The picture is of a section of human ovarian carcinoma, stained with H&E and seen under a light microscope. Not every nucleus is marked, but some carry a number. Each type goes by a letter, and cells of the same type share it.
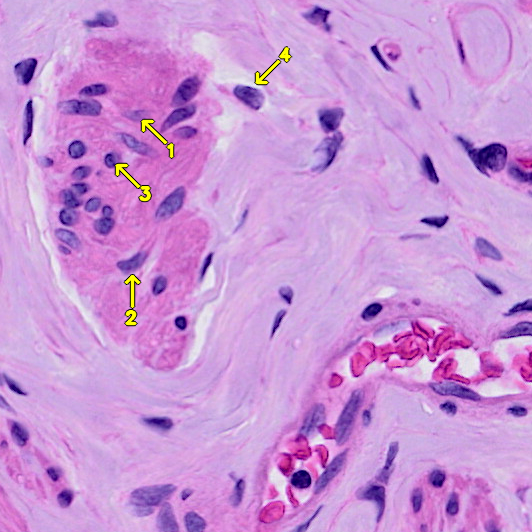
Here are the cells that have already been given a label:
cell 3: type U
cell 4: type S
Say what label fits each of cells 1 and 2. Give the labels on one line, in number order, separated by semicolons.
type U; type U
